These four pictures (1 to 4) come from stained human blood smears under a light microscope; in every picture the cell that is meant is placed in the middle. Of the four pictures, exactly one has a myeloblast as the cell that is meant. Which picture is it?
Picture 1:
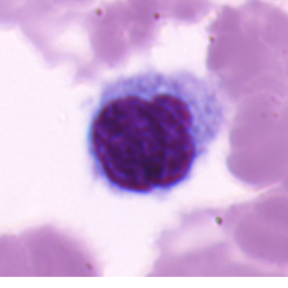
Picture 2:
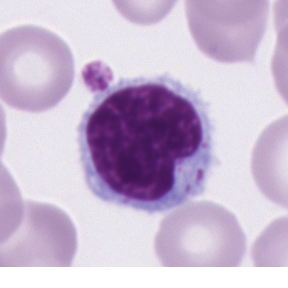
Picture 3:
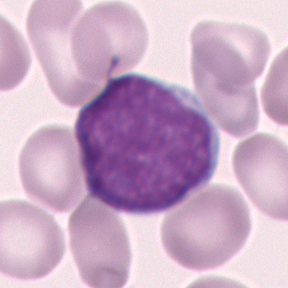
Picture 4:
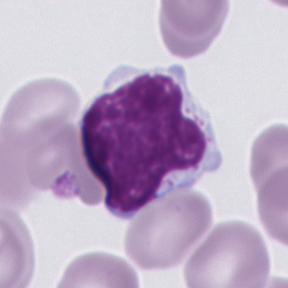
3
